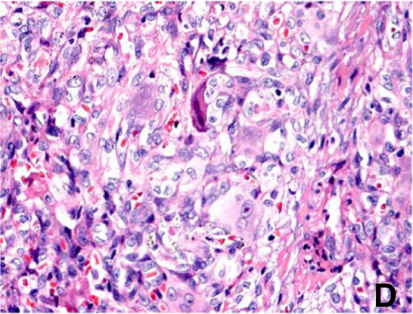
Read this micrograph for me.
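Cellular tumor tissue with oval to spindle-shaped cells among which lie scattered osteoclast-like multinucleate giant cells and large mononucleate cells. The oval to spindle cells have pale oval nuclei and ill-defined pink cytoplasm and are loosely arranged. Red blood cells within small capillaries are scattered through the stroma between the cells.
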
